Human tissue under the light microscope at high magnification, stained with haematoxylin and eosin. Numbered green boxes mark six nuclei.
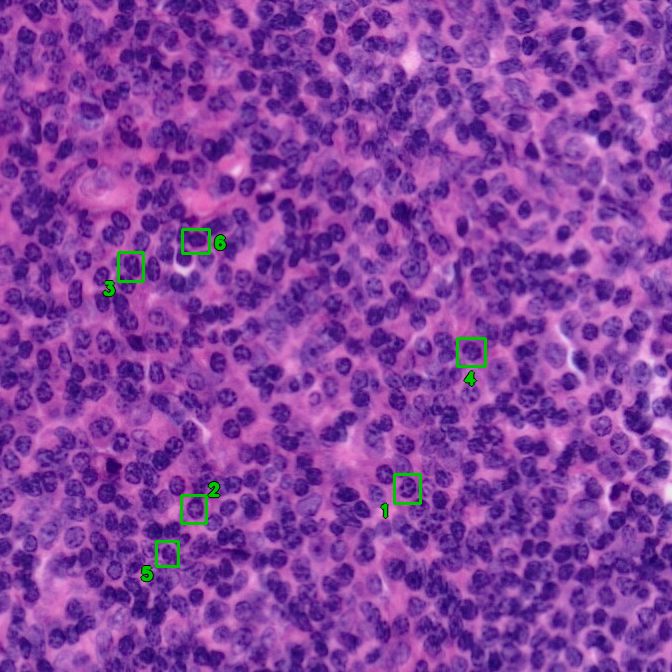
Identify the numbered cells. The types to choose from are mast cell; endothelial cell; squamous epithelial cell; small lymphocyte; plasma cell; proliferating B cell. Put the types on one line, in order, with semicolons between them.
plasma cell; plasma cell; plasma cell; plasma cell; small lymphocyte; small lymphocyte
